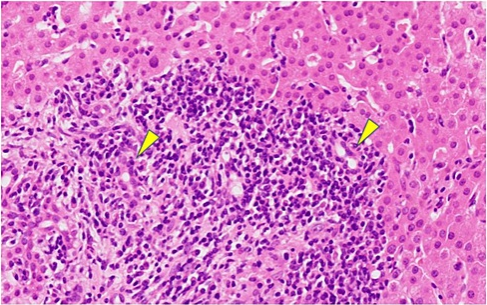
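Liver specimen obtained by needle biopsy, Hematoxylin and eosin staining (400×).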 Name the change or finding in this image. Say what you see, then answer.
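Infiltration of lymphocytes. A dense sheet of small round darkly stained nuclei with scant cytoplasm fills the centre. The cluster is surrounded by polygonal cells with pink cytoplasm and round central nuclei.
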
